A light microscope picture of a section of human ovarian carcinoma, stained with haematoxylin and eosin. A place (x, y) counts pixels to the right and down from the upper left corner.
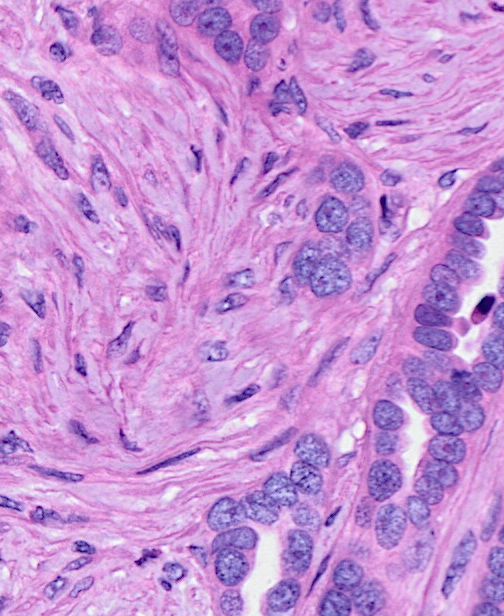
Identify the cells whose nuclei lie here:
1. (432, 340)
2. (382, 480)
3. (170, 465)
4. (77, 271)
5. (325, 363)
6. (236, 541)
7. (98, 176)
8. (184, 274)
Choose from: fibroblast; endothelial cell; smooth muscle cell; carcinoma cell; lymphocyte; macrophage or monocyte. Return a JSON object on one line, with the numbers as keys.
{"1": "carcinoma cell", "2": "carcinoma cell", "3": "fibroblast", "4": "fibroblast", "5": "fibroblast", "6": "carcinoma cell", "7": "fibroblast", "8": "fibroblast"}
